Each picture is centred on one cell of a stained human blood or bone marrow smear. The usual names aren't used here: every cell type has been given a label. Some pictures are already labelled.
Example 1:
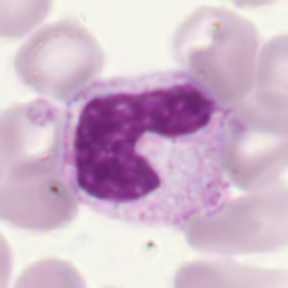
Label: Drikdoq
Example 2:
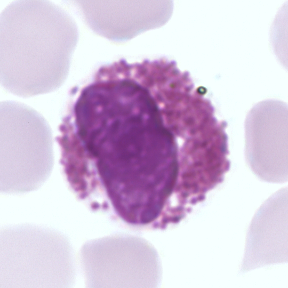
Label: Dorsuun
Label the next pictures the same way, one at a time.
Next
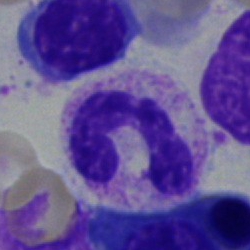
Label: Drikdoq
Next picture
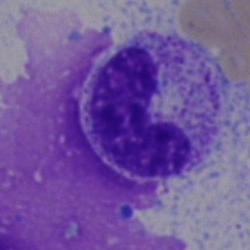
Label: Drikdoq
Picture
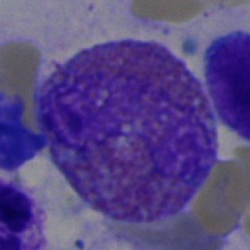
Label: Dorsuun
